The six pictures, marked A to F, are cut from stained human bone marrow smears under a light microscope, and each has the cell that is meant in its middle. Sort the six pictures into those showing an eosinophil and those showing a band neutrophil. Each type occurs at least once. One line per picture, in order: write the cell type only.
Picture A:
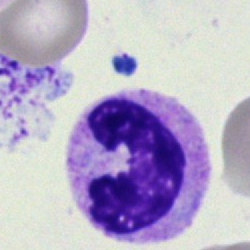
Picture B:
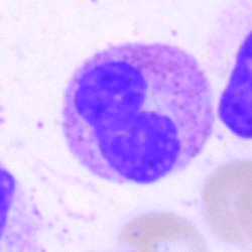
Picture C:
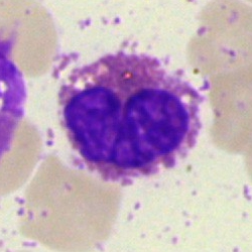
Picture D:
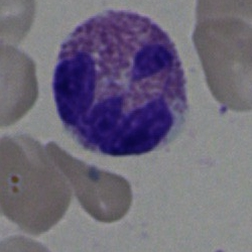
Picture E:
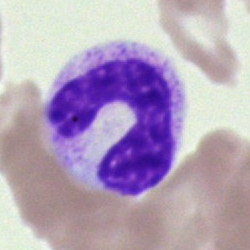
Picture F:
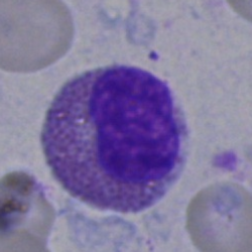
band neutrophil
eosinophil
eosinophil
eosinophil
band neutrophil
eosinophil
